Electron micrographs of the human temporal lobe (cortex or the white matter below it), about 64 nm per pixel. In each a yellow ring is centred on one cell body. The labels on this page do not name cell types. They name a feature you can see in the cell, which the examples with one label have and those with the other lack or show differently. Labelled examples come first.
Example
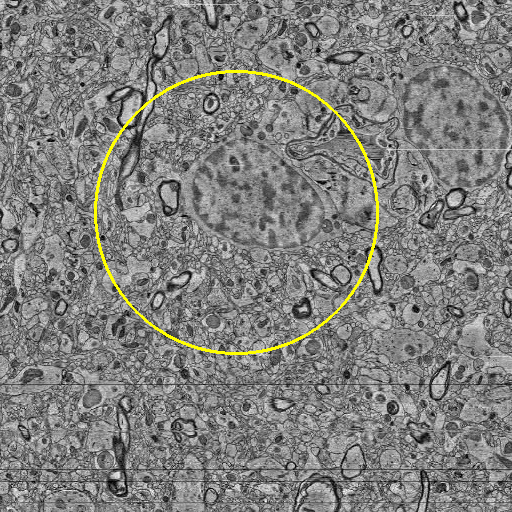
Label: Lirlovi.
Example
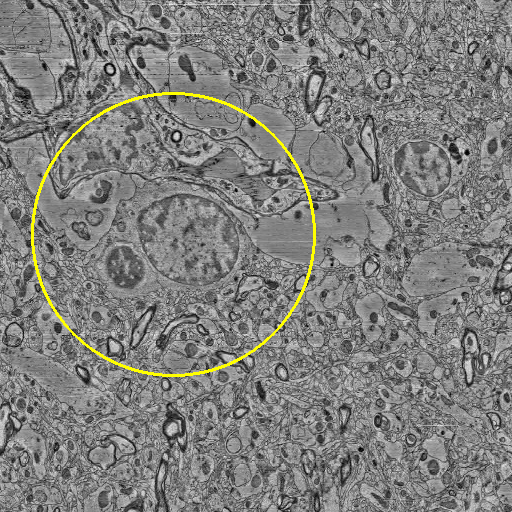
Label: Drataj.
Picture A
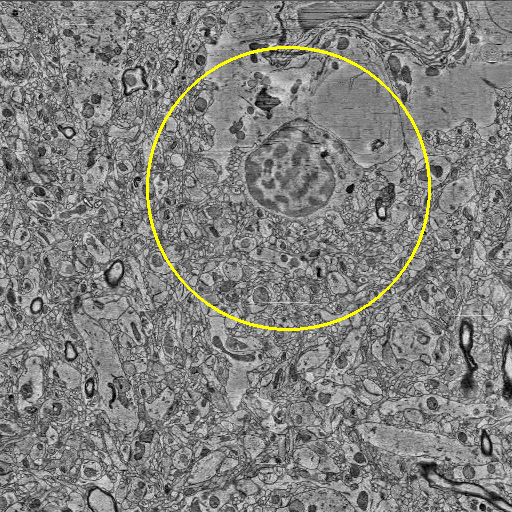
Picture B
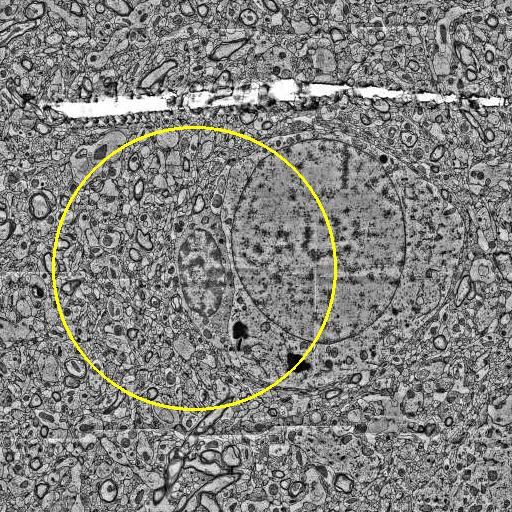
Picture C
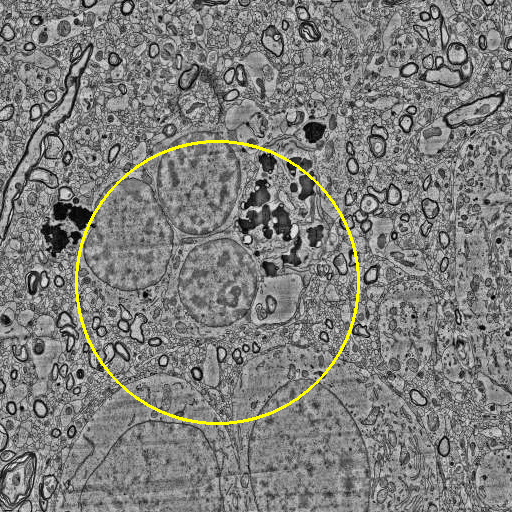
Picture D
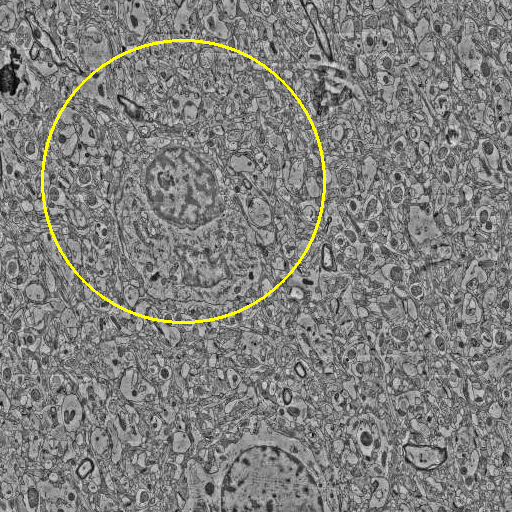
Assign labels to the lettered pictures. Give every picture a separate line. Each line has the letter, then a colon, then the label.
A: Drataj.
B: Lirlovi.
C: Drataj.
D: Drataj.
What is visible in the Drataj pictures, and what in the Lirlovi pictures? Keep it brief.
Drataj, round or nearly round nuclei; Lirlovi, clearly elongated nuclei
